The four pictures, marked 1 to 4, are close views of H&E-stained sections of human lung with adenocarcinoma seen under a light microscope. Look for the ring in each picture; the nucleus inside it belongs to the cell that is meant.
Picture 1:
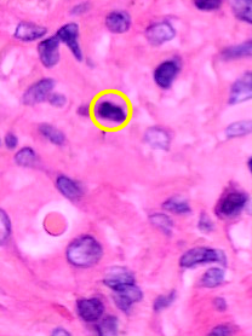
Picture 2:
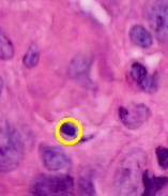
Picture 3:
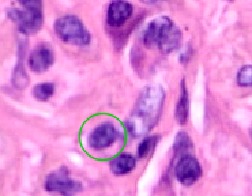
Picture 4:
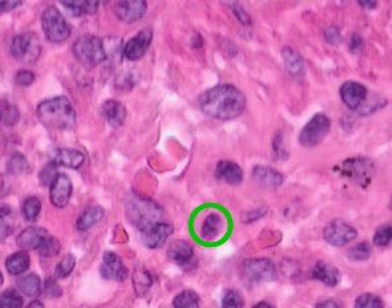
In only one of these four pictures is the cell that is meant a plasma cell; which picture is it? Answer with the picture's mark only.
1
